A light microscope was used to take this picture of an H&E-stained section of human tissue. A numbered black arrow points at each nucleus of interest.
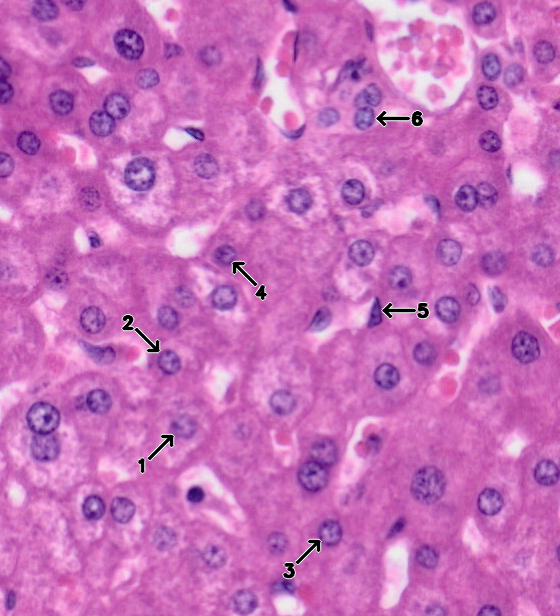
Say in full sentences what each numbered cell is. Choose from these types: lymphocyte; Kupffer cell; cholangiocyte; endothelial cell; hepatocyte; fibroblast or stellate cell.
Cells 1, 2, 3 and 4 are hepatocytes. Cell 5 is an endothelial cell. Cell 6 is a cholangiocyte.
